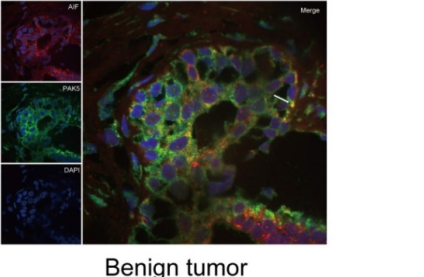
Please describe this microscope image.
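Blue oval nuclei are crowded closely together. Green staining outlines the cell borders and fills the cytoplasm, while red appears as granules scattered among the cells, some gathered into dense clusters. In places red and green overlap as yellow in the cytoplasm around the nuclei.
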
